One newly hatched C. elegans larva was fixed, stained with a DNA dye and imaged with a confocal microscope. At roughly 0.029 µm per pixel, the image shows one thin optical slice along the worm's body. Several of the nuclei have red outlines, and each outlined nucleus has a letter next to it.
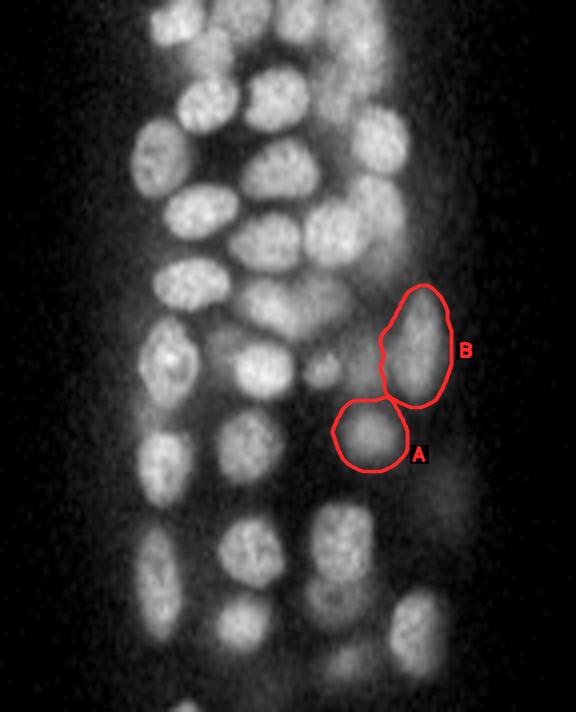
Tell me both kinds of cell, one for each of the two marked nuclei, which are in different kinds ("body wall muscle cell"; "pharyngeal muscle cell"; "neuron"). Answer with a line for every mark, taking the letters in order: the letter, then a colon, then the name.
A: neuron
B: body wall muscle cell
